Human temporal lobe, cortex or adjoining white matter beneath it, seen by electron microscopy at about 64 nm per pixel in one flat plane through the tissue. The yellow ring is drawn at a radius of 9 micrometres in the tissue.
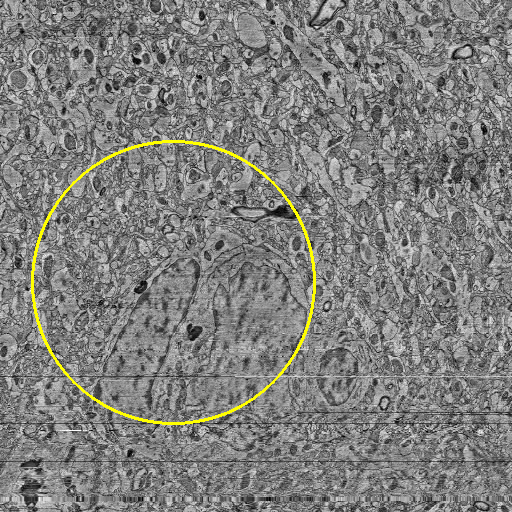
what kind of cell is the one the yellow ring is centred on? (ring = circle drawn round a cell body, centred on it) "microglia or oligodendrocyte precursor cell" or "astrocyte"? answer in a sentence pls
The ring is drawn around a microglial cell or oligodendrocyte precursor cell.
